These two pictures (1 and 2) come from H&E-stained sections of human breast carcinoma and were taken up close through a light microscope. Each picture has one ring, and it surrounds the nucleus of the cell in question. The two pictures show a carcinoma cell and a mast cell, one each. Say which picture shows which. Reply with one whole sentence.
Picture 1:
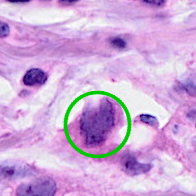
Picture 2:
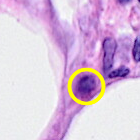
Picture 2 shows a mast cell, while picture 1 shows a carcinoma cell.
